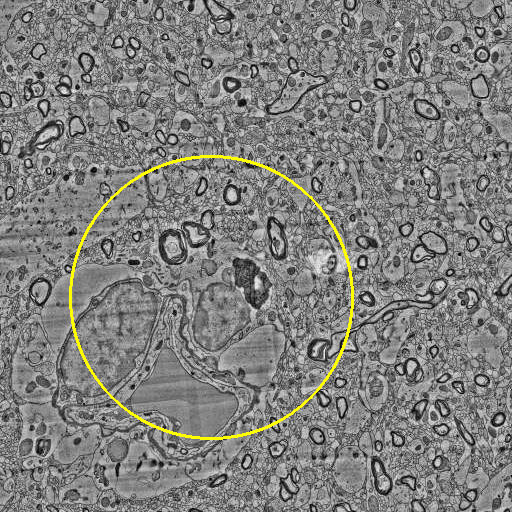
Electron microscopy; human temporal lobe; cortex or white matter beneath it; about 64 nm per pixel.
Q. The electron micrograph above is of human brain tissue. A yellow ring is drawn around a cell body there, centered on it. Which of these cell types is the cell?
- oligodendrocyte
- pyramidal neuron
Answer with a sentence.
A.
The cell under the ring's center is an oligodendrocyte.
